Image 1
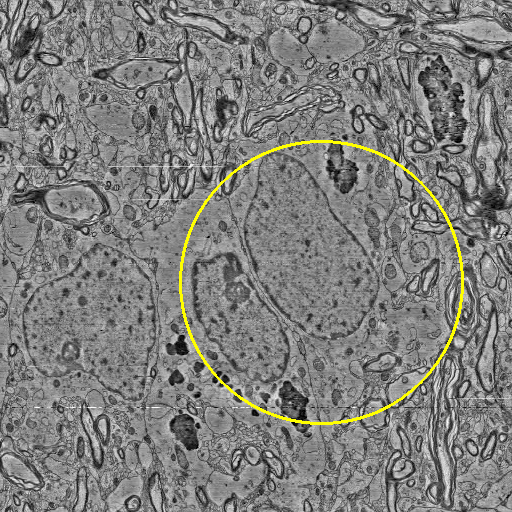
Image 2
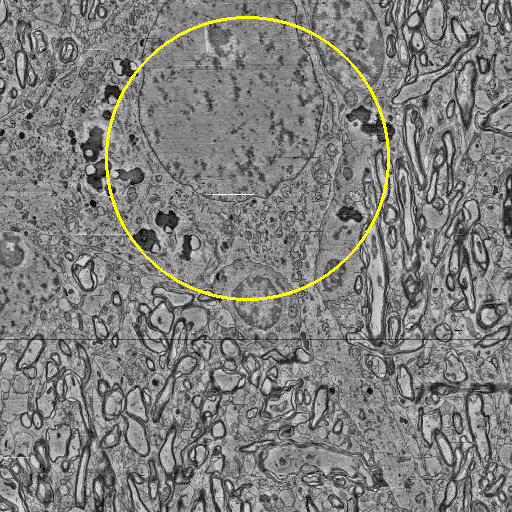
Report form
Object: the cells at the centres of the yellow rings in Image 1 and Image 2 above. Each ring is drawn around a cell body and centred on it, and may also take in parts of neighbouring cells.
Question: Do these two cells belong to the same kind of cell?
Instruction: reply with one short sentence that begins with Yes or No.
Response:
No, they belong to two kinds of cell.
